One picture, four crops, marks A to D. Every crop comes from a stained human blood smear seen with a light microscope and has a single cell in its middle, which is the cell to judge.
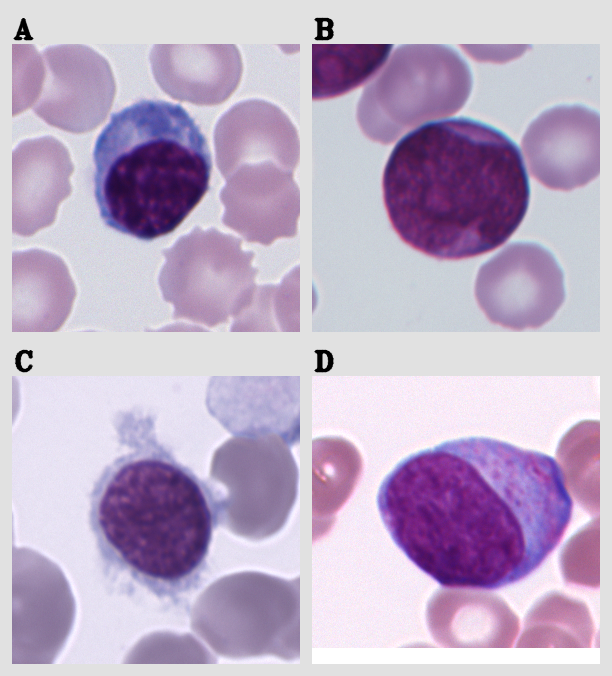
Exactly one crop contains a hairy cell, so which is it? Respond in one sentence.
The crop that shows a hairy cell is crop C.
